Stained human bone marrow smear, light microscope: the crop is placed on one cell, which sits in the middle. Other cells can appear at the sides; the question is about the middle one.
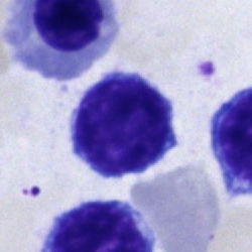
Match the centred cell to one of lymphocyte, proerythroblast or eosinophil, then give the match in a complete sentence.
At the crop's centre, the cell is a lymphocyte.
